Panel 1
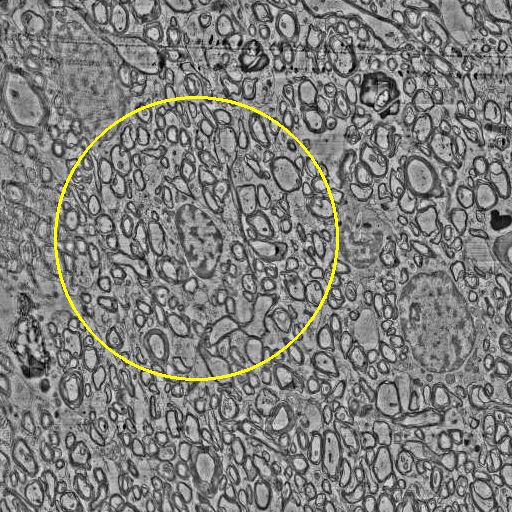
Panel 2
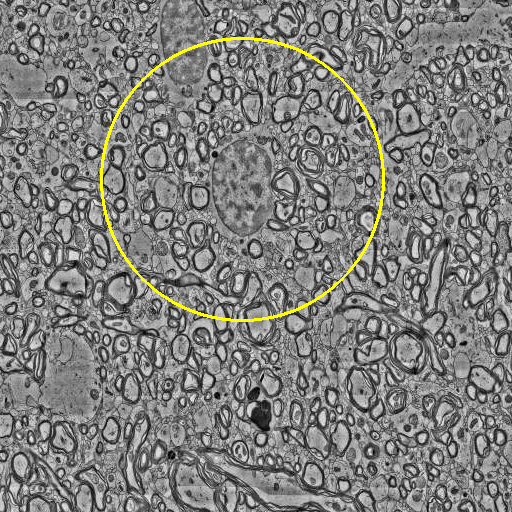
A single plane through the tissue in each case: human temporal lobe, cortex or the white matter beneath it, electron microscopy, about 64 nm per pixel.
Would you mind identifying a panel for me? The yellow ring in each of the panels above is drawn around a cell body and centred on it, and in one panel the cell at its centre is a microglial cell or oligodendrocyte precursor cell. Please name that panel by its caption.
Panel 1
